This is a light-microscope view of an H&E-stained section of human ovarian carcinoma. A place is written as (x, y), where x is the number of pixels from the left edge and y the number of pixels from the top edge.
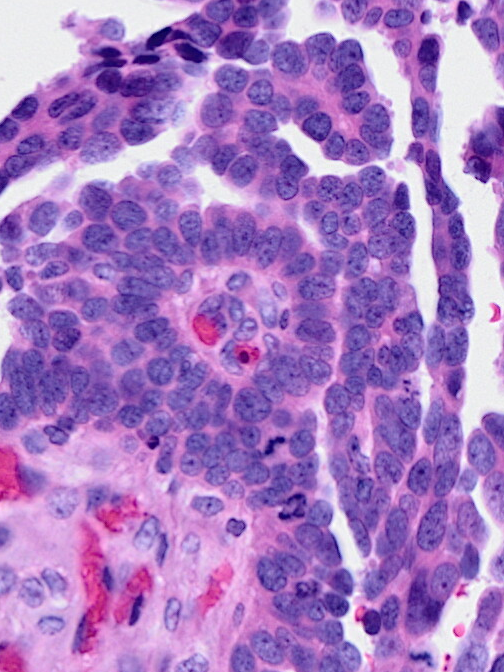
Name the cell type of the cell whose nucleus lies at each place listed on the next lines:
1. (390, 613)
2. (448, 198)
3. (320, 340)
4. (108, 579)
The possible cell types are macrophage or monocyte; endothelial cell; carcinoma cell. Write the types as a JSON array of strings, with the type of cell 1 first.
["carcinoma cell", "carcinoma cell", "carcinoma cell", "endothelial cell"]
